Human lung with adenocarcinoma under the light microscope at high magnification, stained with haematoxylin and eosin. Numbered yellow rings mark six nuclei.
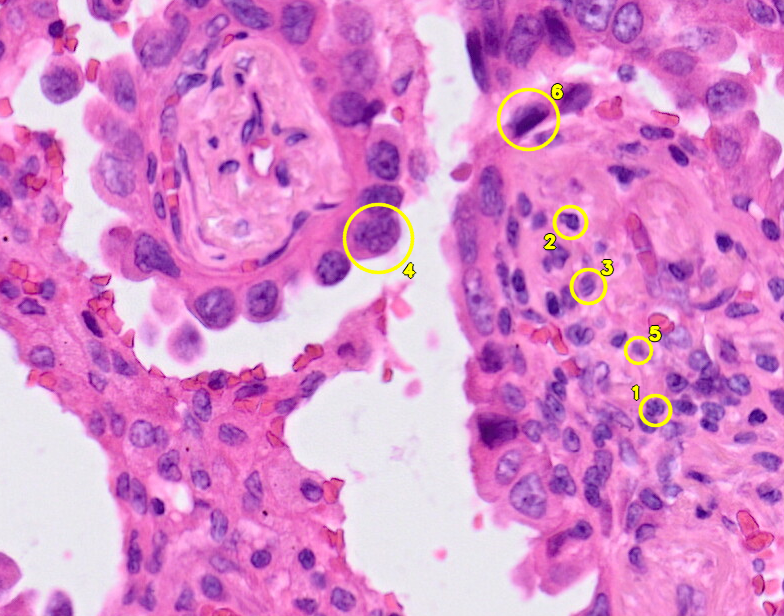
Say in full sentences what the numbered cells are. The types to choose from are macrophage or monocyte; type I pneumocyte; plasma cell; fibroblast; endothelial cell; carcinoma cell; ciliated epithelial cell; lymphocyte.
Cell 1 is a lymphocyte, cell 2 is a lymphocyte, cell 3 is a lymphocyte, cell 4 is a carcinoma cell, cell 5 is a lymphocyte and cell 6 is a carcinoma cell.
